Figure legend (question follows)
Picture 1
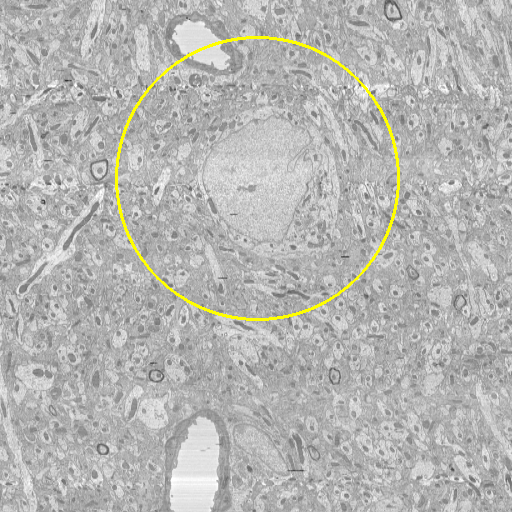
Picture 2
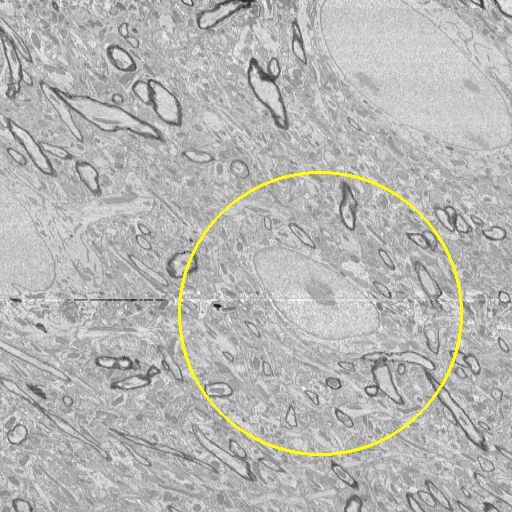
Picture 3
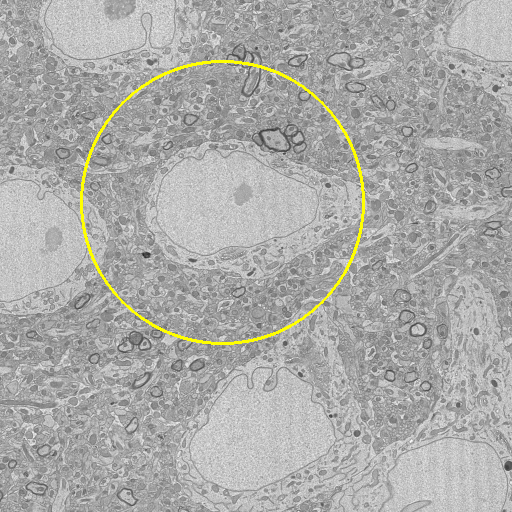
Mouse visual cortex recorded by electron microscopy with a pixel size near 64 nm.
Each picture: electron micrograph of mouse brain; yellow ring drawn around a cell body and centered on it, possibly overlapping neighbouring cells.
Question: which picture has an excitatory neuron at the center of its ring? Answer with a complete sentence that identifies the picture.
Picture 3 has it at the center of its ring.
